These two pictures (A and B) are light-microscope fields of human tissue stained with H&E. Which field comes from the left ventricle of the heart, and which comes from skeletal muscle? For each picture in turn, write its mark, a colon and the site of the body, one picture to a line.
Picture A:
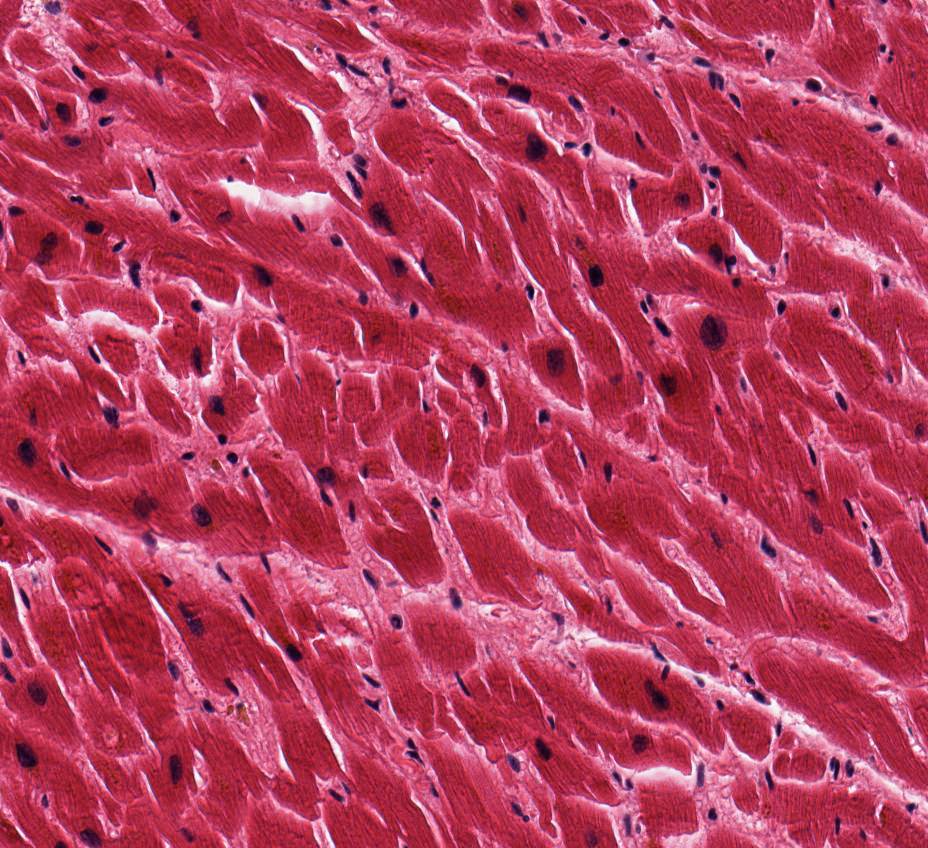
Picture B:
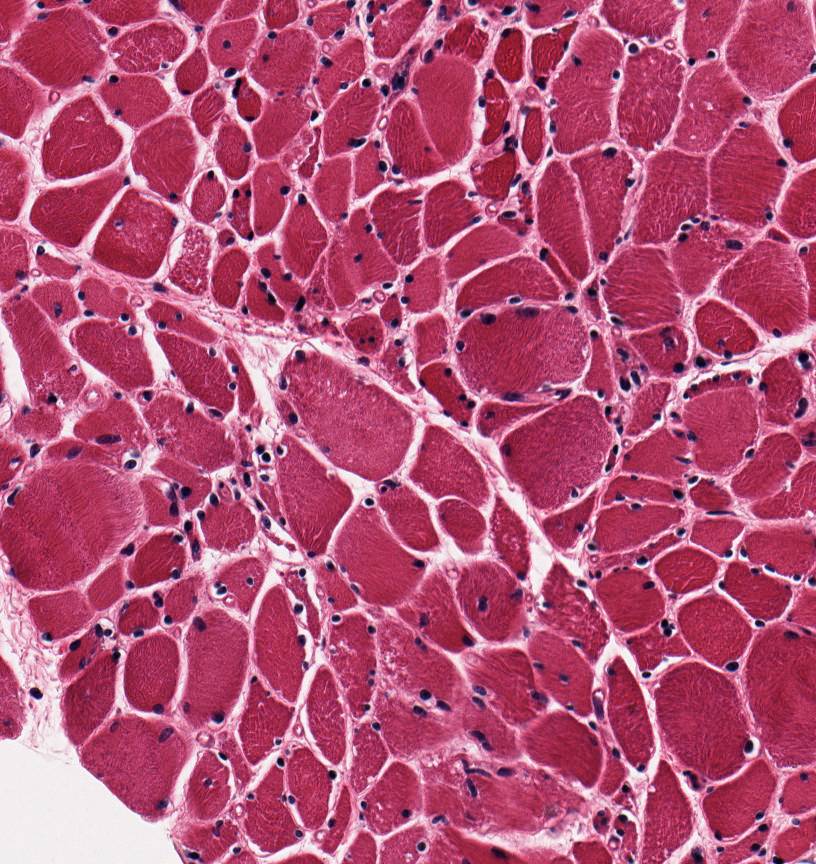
A: left ventricle of the heart
B: skeletal muscle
